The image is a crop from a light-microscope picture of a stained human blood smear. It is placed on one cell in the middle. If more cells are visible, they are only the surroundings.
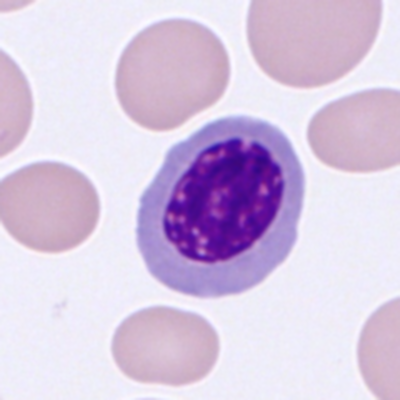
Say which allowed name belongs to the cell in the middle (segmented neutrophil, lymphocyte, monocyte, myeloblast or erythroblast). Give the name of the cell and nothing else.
erythroblast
